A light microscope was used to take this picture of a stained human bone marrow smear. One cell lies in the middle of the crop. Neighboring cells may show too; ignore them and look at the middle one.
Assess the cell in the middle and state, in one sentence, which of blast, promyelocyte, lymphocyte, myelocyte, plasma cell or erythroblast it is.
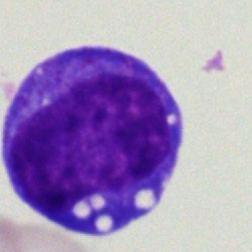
The target cell in the middle of the crop is a blast.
